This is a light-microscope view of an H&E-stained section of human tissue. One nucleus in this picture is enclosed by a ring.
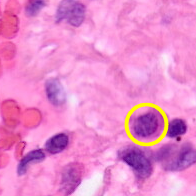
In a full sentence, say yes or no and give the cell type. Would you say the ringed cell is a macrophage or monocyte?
No, it is a plasma cell, not a macrophage or monocyte, that the ringed cell represents.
